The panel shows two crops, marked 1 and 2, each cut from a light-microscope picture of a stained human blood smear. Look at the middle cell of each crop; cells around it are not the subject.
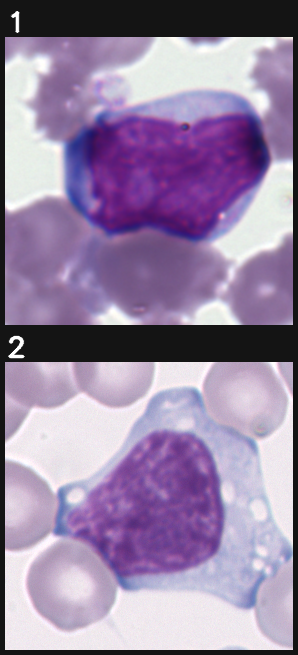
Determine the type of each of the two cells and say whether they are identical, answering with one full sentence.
Yes, the central cells of both crops are myeloblasts.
